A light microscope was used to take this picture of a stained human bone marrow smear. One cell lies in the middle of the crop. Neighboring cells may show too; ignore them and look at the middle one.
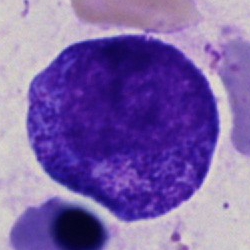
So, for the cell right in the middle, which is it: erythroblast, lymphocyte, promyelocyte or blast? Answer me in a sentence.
Framed in the middle of the crop is a promyelocyte.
